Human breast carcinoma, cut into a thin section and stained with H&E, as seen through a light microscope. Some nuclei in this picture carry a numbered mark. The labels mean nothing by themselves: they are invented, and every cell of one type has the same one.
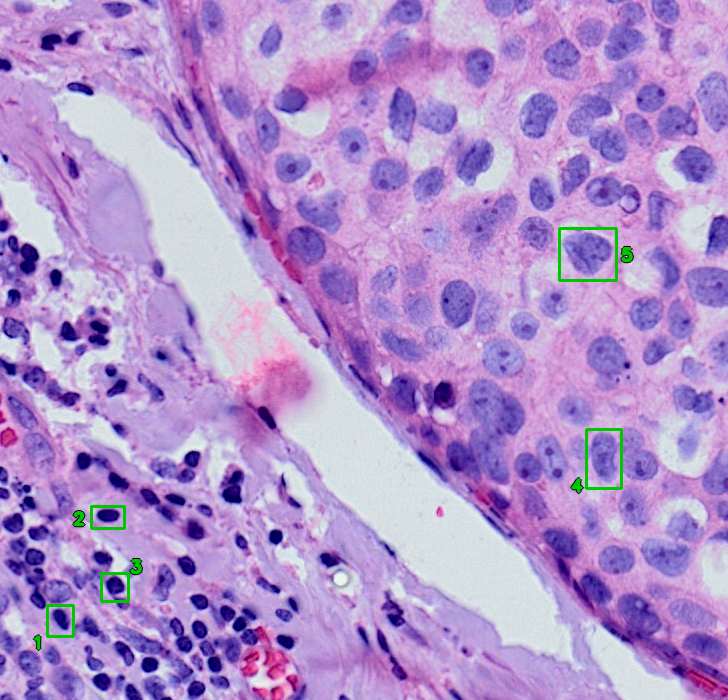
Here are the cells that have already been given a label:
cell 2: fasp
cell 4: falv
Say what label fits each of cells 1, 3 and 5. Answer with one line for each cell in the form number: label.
1: fasp
3: fasp
5: falv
